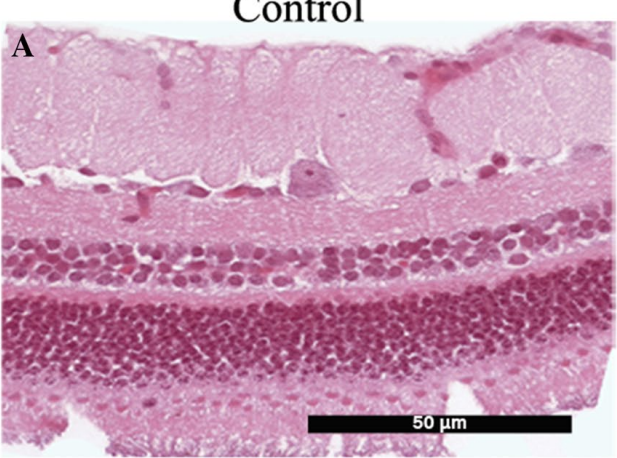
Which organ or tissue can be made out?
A: retina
